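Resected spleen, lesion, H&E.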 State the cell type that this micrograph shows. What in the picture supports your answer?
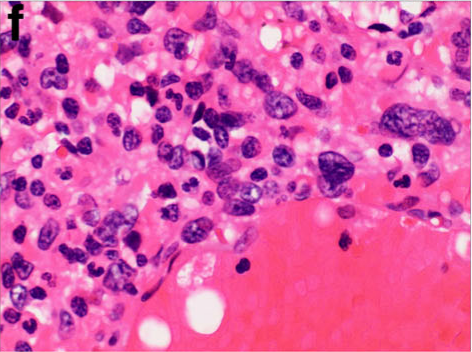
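Scattered cells have nuclei far larger than the surrounding small dark nuclei. Some large nuclei are irregular, folded or lobulated. That points to this answer: bizarre large cells.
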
